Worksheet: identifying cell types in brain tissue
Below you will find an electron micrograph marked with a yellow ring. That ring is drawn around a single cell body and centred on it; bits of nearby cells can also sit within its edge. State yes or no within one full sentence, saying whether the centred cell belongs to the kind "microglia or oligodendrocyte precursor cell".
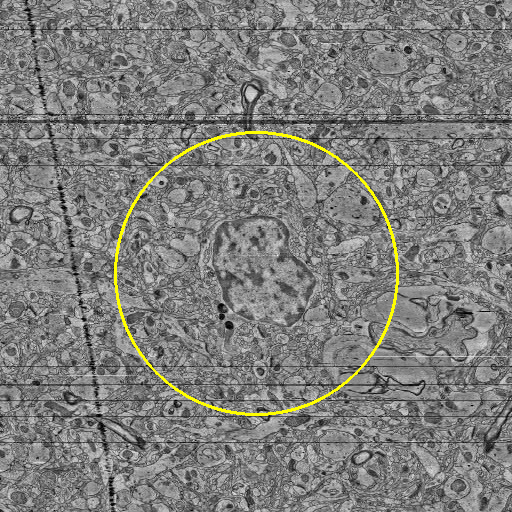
Yes, the cell sitting at the centre of the yellow ring in this picture is of that kind.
